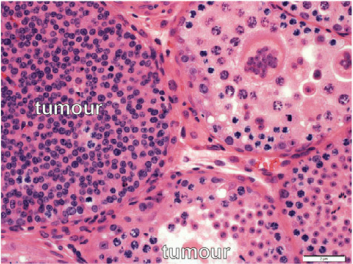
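This is testis tissue in which one seminiferous tubule profile, on the left, is filled from edge to edge with tightly crowded small cells whose round nuclei stain dark purple, with little pink cytoplasm between them and no central lumen. The mass keeps a smooth rounded border, like the neighbouring tubules, with only a thin pink band of interstitium outside it. The tubule to the right looks different: it has layers of germ cells with paler, larger nuclei, some cells with clumped chromatin, clear vacuoles, and a cluster of dark nuclei lying in its lumen. The contrast shows how uniform and crowded the filled tubule is.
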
